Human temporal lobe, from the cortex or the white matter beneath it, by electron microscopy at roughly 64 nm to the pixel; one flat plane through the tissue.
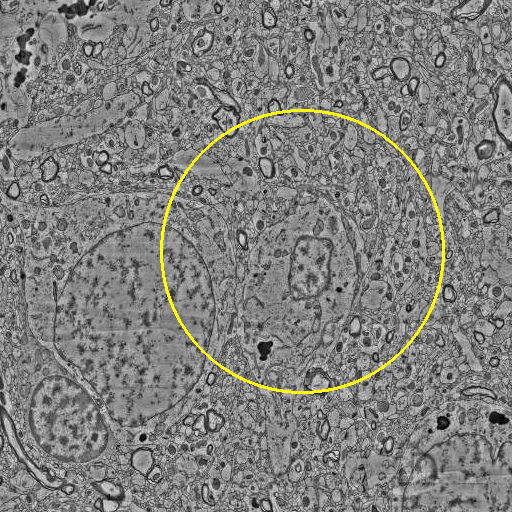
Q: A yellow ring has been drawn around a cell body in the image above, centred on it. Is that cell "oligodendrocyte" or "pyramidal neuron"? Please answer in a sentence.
The ring surrounds the cell body of a pyramidal neuron.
